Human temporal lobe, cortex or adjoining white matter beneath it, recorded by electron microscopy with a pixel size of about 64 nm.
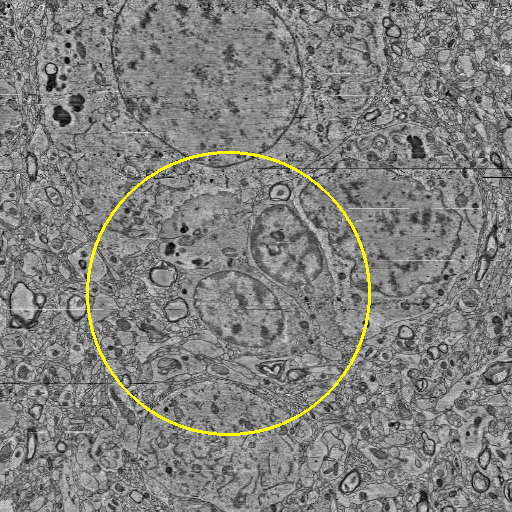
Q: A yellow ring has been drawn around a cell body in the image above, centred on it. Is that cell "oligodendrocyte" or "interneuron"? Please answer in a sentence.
The ring surrounds the cell body of an oligodendrocyte.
